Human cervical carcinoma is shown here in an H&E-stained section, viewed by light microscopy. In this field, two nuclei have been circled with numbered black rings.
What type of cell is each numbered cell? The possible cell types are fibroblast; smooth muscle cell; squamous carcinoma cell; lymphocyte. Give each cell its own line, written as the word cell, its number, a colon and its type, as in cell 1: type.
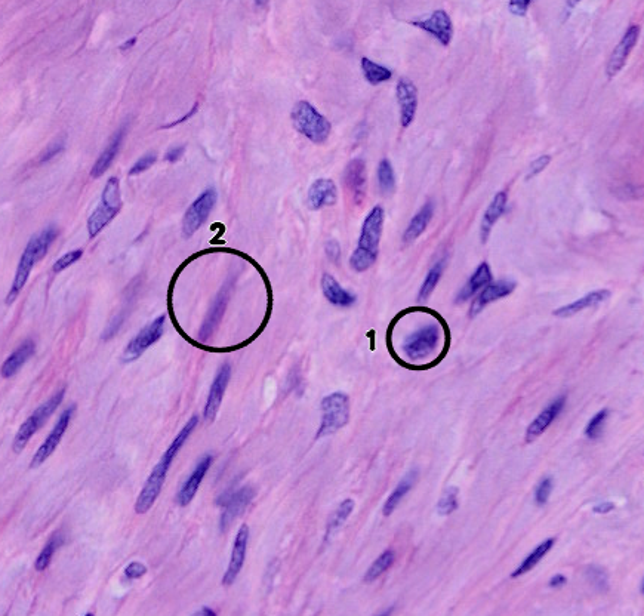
cell 1: fibroblast
cell 2: smooth muscle cell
